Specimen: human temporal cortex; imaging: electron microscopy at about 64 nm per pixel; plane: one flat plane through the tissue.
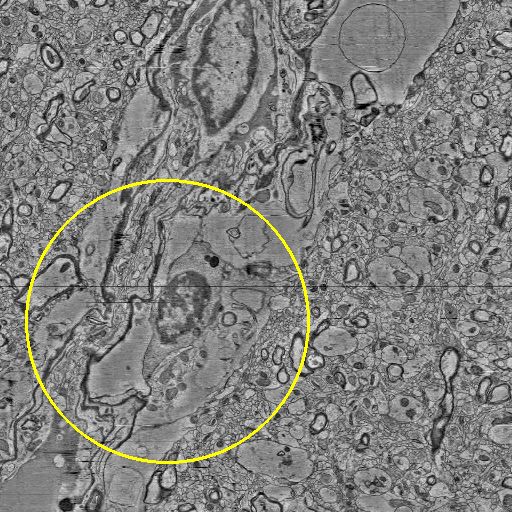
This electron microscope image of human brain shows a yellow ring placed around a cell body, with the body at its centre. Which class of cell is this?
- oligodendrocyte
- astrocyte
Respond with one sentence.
The cell body at the ring's centre is an oligodendrocyte.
